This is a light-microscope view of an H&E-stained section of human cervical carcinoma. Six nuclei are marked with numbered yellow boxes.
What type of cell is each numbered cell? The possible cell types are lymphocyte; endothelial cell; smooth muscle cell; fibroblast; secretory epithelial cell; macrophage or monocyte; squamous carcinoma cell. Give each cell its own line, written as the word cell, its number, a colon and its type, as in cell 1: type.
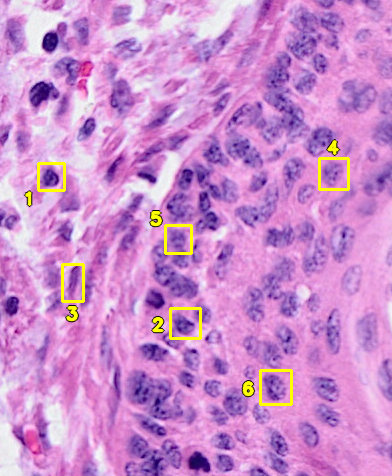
cell 1: lymphocyte
cell 2: squamous carcinoma cell
cell 3: fibroblast
cell 4: squamous carcinoma cell
cell 5: squamous carcinoma cell
cell 6: squamous carcinoma cell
